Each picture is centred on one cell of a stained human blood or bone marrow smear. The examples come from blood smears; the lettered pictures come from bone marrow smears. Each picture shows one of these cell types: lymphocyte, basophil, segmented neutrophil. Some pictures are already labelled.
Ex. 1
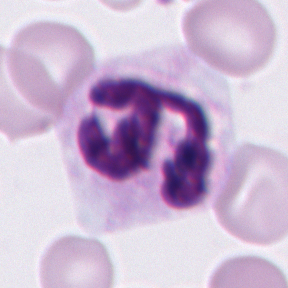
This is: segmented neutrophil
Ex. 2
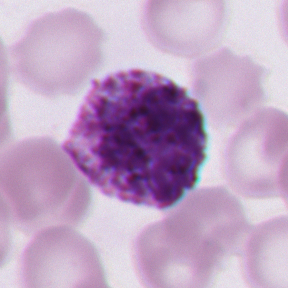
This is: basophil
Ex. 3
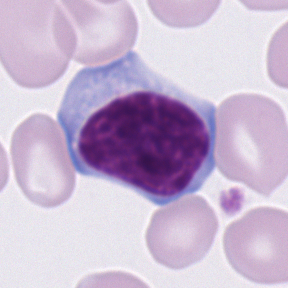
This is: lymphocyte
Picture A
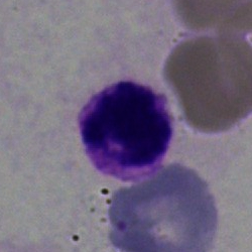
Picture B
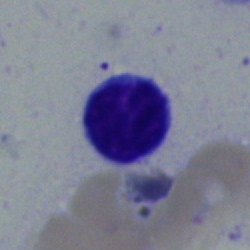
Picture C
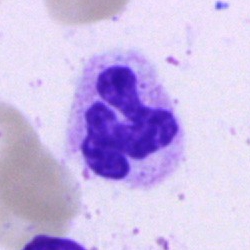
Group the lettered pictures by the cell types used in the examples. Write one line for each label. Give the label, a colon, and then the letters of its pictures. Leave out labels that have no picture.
lymphocyte: B
basophil: A
segmented neutrophil: C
